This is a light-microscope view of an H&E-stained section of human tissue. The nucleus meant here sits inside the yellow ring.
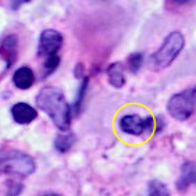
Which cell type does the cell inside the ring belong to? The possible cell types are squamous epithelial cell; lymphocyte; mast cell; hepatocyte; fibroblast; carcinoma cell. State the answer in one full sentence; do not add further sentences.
The correct response here is that the cell inside the ring is a lymphocyte.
